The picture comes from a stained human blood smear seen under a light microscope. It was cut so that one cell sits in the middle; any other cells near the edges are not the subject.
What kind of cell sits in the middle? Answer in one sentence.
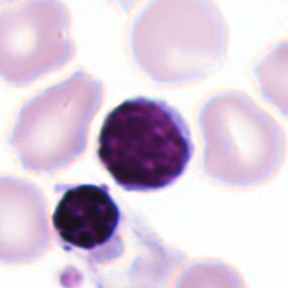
To answer, the cell in the center of the crop is a normoblast.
